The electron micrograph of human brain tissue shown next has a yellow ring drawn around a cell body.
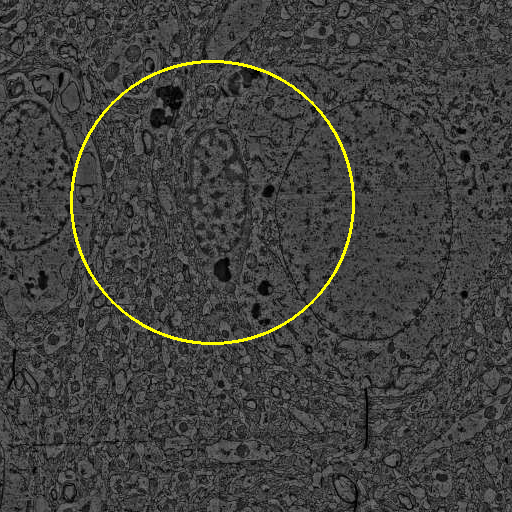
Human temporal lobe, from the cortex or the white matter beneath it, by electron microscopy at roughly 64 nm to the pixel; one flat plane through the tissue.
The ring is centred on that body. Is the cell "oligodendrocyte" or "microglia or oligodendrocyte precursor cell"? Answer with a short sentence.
The cell in question is an oligodendrocyte.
